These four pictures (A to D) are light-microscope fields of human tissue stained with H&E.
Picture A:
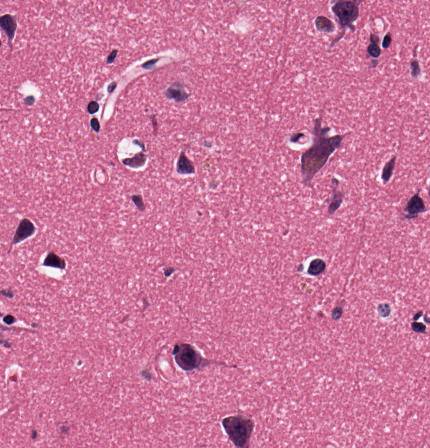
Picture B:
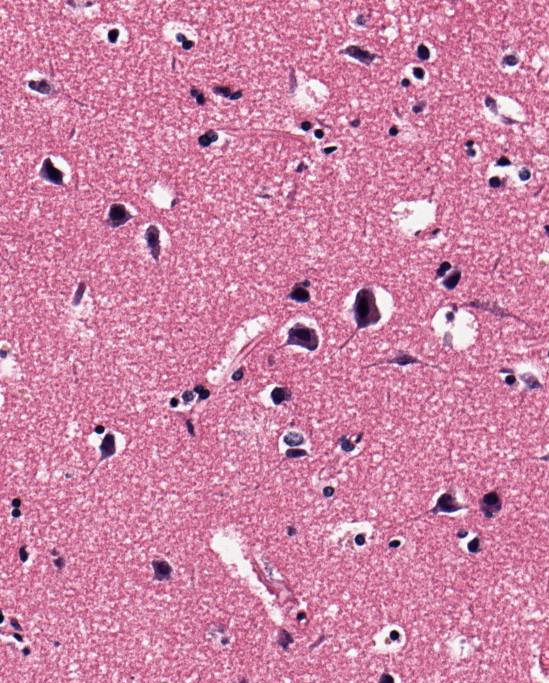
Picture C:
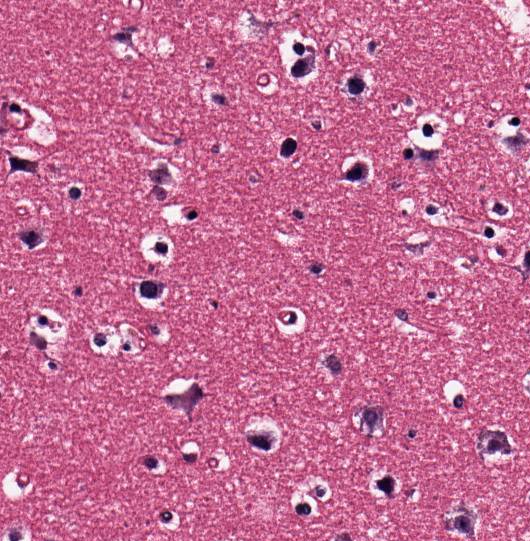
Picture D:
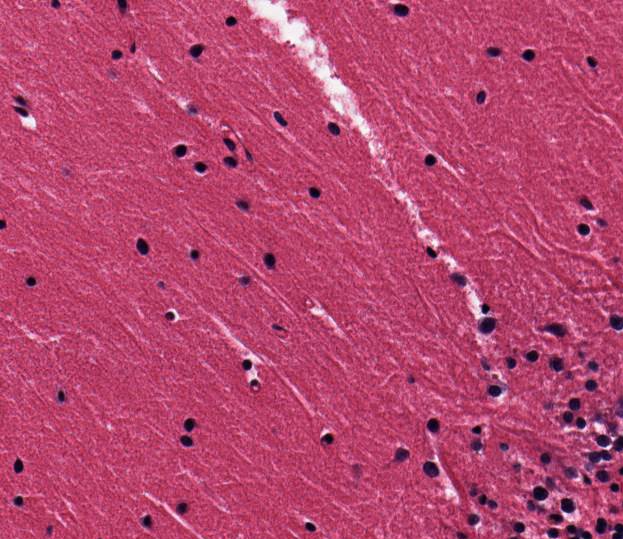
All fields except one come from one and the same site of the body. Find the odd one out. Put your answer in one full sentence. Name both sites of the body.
The others come from the cerebral cortex, but picture D comes from the cerebellum.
